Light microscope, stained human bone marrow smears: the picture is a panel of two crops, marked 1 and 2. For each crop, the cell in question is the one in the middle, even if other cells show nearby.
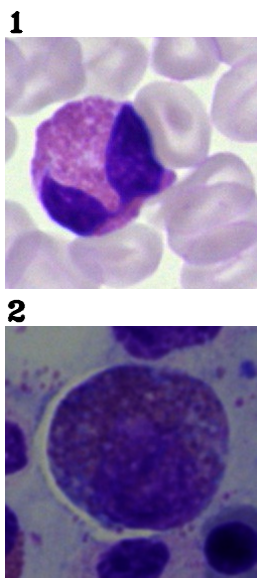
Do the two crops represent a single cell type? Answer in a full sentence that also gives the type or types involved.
Yes, in both crops, eosinophils are the cells at the middle.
